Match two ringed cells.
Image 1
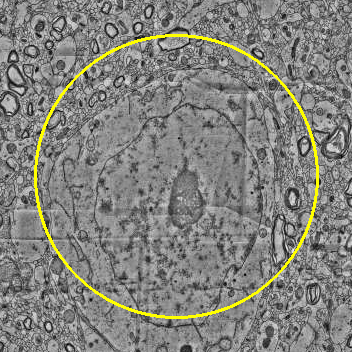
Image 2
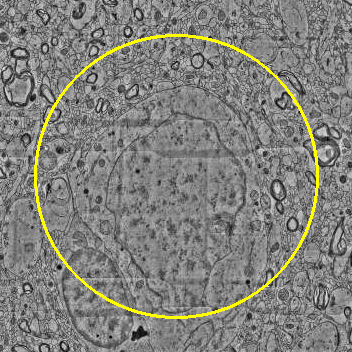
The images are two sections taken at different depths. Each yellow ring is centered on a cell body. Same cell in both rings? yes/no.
yes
